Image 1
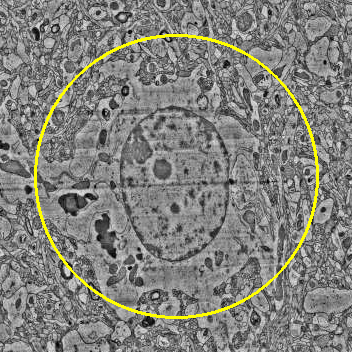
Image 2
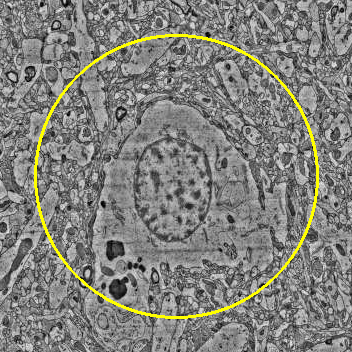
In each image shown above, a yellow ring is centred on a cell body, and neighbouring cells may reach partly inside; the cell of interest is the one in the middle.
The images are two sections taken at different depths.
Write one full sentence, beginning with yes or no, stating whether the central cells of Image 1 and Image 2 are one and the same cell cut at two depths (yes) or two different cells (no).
Yes, the same cell turns up inside each of the two rings.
